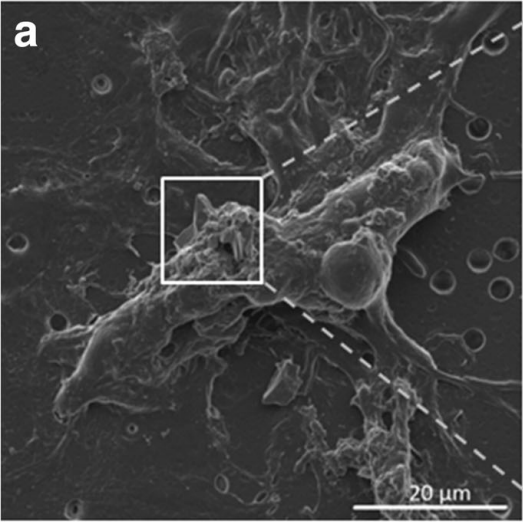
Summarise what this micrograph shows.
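The cell is elongated and irregular in outline, with a ruffled, uneven surface. Thin processes extend from its edges onto the membrane, whose round pores are visible around the cell. A smooth rounded bulge sits on the cell body. At the upper left of the cell, a group of flat, sharp-edged particles protrudes from the cell surface and is partly covered by it.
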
